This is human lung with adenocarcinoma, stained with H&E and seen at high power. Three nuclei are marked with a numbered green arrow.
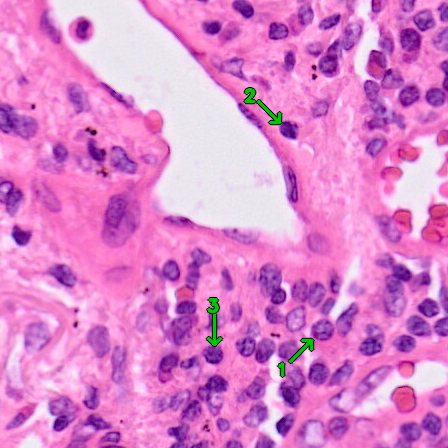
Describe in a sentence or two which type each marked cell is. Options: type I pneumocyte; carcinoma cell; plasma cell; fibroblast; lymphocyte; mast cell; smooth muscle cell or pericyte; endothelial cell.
Cell 1 is a mast cell, cell 2 is a lymphocyte and cell 3 is a lymphocyte.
